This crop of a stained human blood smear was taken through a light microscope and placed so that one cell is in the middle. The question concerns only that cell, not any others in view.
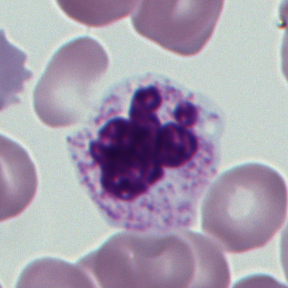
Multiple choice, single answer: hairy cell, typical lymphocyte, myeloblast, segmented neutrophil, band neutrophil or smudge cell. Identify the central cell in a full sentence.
Within this crop, a segmented neutrophil occupies the central position.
